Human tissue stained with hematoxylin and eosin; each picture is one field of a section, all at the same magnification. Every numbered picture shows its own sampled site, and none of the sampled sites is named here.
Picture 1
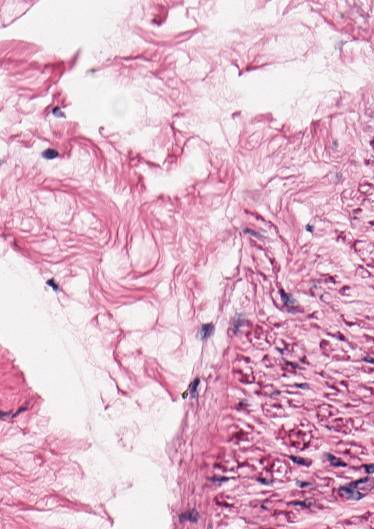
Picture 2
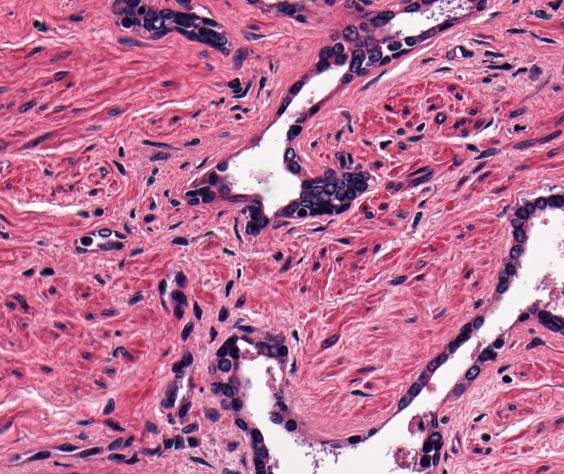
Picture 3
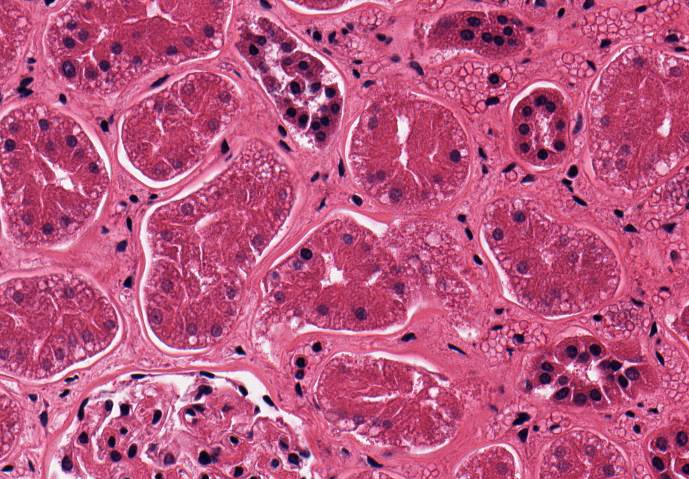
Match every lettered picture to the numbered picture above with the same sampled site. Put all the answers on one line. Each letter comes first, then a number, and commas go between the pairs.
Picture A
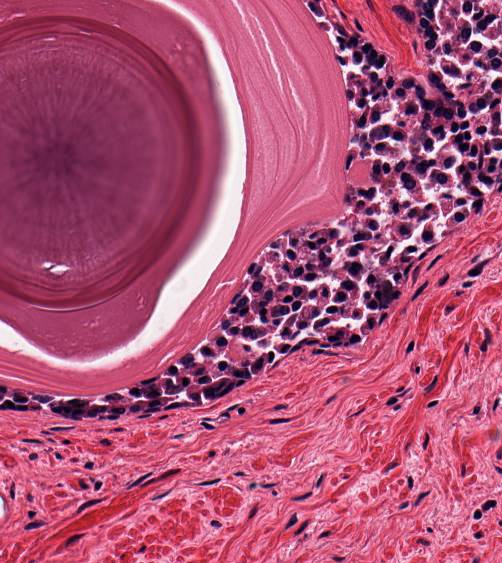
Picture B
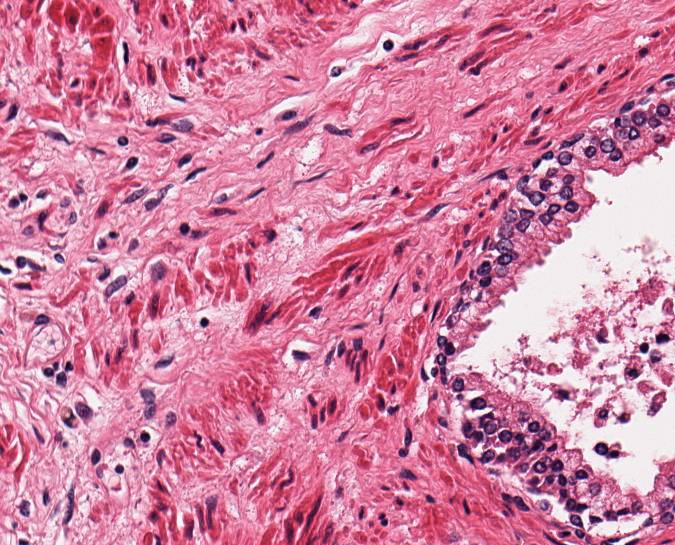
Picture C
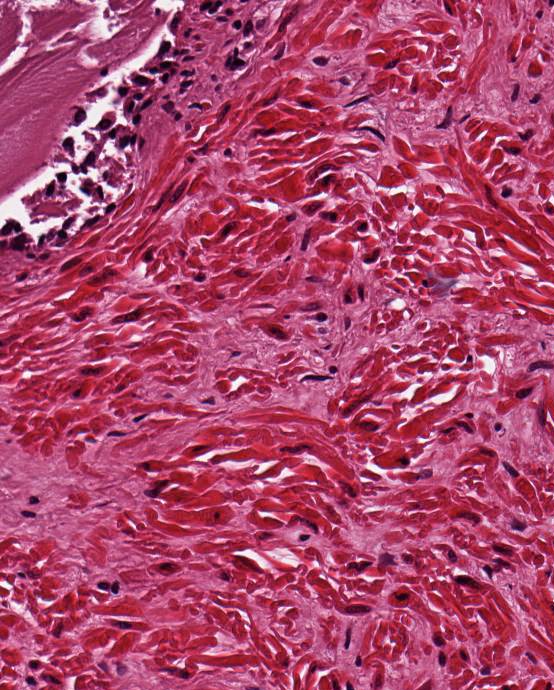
A 2, B 2, C 2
